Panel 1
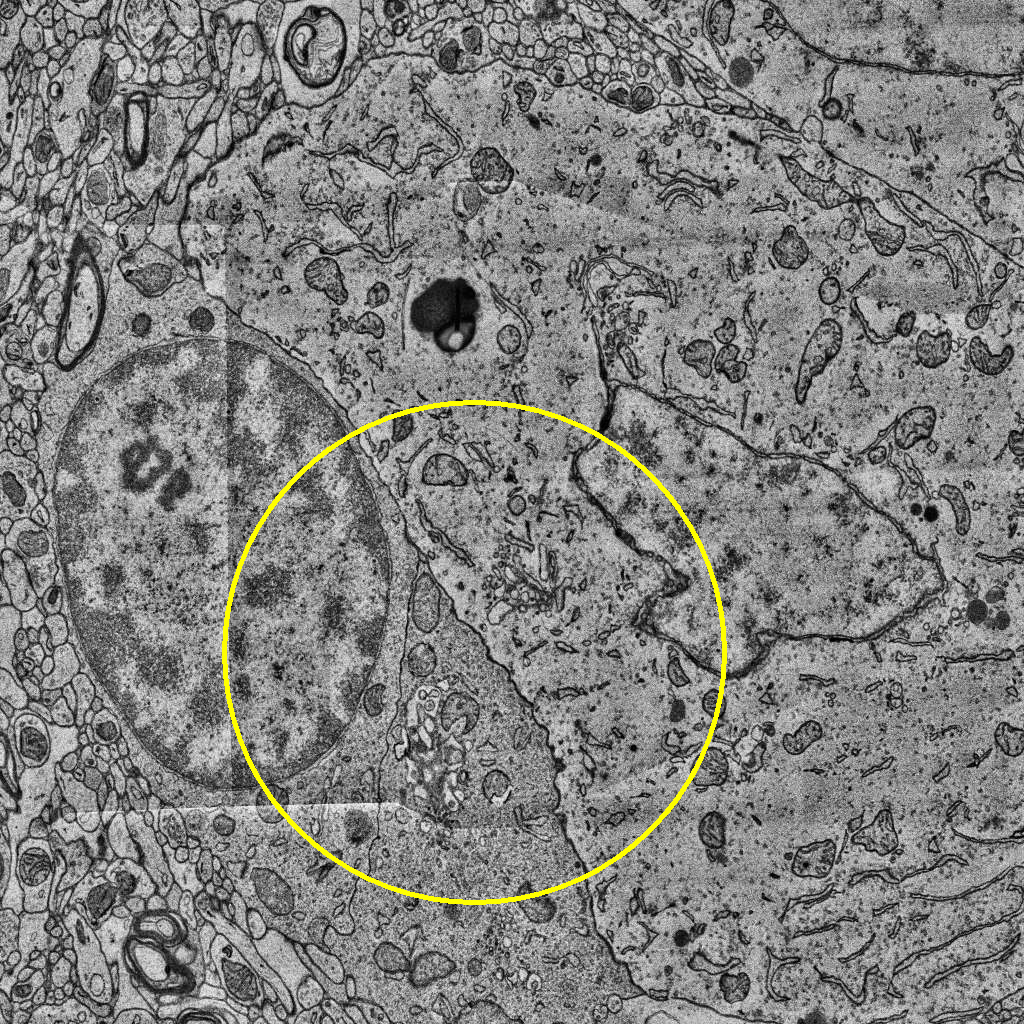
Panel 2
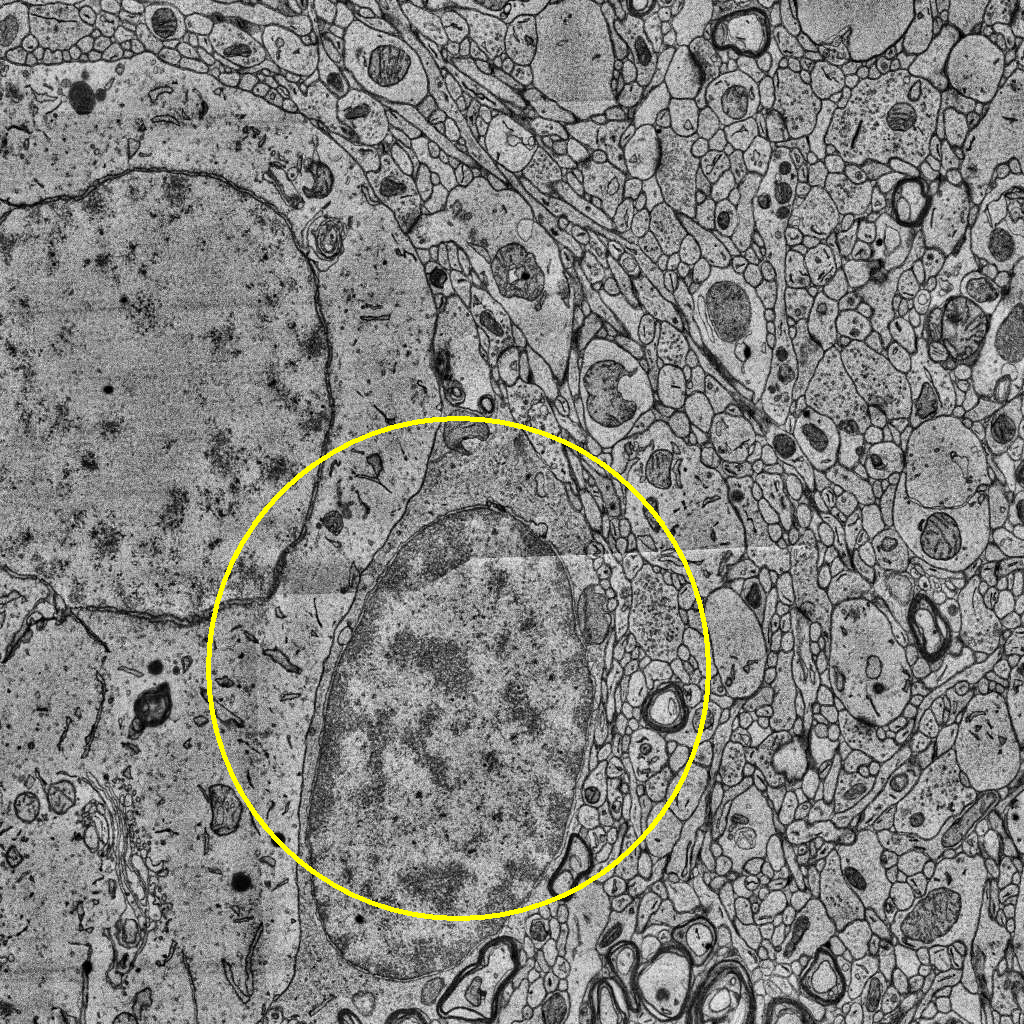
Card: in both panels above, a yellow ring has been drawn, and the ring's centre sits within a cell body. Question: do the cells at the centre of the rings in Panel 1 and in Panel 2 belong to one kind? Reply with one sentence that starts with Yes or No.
Yes, the cells at the ring centres of Panel 1 and Panel 2 are one kind of cell.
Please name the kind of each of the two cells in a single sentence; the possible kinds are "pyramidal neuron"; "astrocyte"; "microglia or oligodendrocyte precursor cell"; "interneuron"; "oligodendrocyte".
Both cells are the same kind, each one being an oligodendrocyte.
